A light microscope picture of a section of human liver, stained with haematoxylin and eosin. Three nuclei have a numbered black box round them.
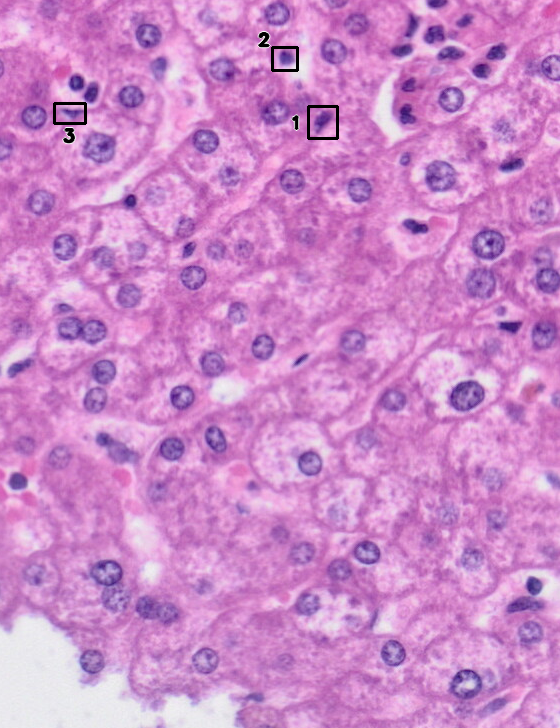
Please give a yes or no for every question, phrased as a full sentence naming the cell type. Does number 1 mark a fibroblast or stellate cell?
Yes, so the cell at label 1 is a fibroblast or stellate cell.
